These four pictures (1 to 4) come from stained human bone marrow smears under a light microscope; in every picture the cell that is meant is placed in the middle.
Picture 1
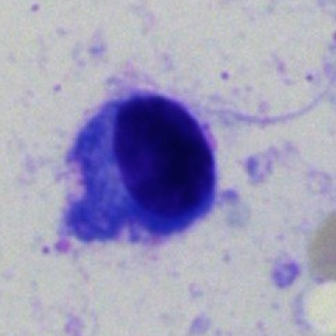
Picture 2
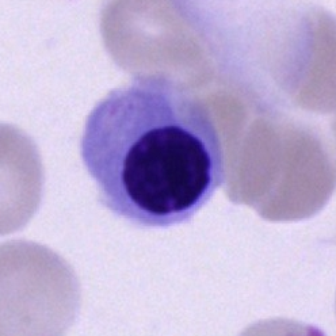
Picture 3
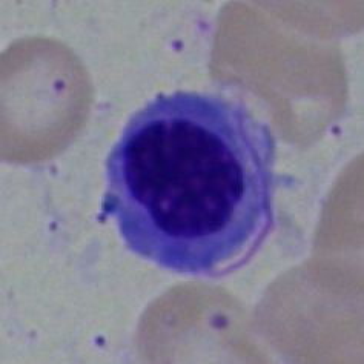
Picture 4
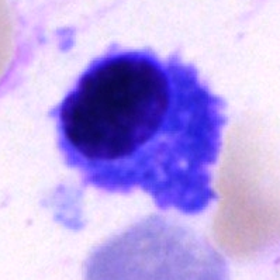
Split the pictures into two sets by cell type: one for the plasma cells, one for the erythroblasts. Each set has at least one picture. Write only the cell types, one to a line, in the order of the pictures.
plasma cell
erythroblast
erythroblast
plasma cell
